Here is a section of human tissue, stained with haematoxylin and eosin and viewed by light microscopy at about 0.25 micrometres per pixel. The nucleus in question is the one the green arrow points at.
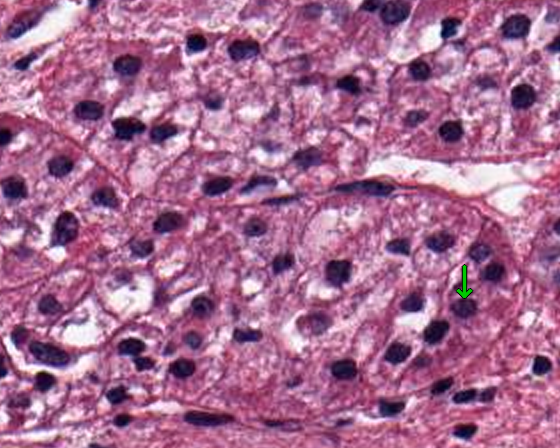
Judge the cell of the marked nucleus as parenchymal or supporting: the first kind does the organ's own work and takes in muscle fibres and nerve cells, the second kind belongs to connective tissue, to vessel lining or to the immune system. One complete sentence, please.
The cell carrying the marked nucleus is an adrenal cortical cell, a parenchymal cell.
